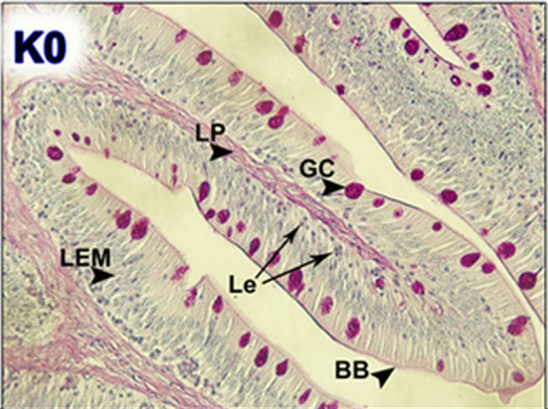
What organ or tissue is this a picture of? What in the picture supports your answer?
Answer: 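Intestinal tissue. Mucosal folds project into a central lumen. Folds are lined by tall columnar epithelium with a luminal border. Magenta-stained goblet-shaped cells are scattered among the columnar cells. A thin connective tissue core runs along the centre of each fold.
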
